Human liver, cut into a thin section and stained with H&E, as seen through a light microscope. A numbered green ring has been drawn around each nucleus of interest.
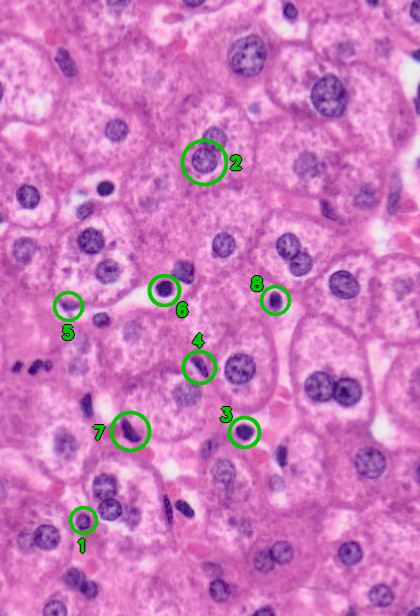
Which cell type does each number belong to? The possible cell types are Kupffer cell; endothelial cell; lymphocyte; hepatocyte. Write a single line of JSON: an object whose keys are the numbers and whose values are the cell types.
{"1": "Kupffer cell", "2": "hepatocyte", "3": "lymphocyte", "4": "endothelial cell", "5": "endothelial cell", "6": "lymphocyte", "7": "endothelial cell", "8": "lymphocyte"}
